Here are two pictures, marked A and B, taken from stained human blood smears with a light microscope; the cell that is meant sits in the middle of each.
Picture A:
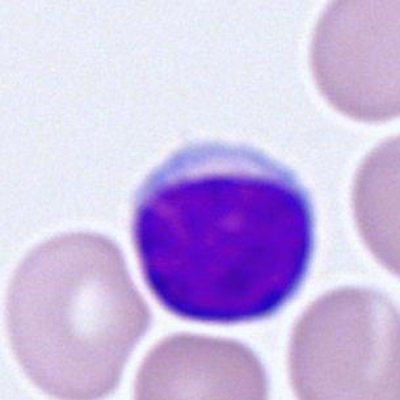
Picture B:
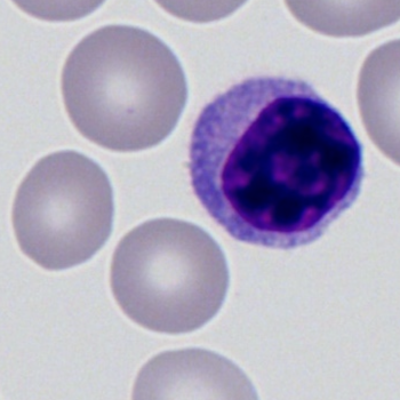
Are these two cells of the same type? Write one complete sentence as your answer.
Yes; the cells in both pictures are lymphocytes.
